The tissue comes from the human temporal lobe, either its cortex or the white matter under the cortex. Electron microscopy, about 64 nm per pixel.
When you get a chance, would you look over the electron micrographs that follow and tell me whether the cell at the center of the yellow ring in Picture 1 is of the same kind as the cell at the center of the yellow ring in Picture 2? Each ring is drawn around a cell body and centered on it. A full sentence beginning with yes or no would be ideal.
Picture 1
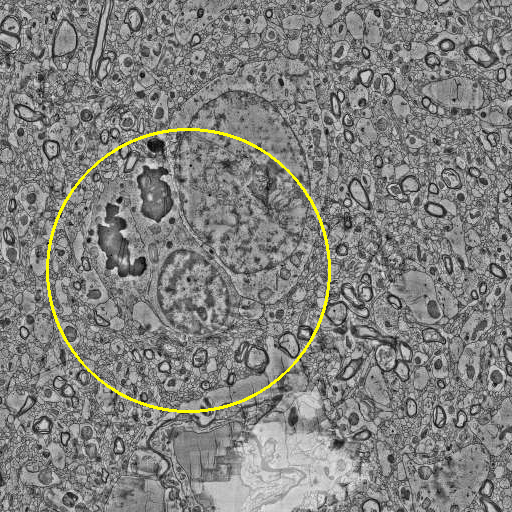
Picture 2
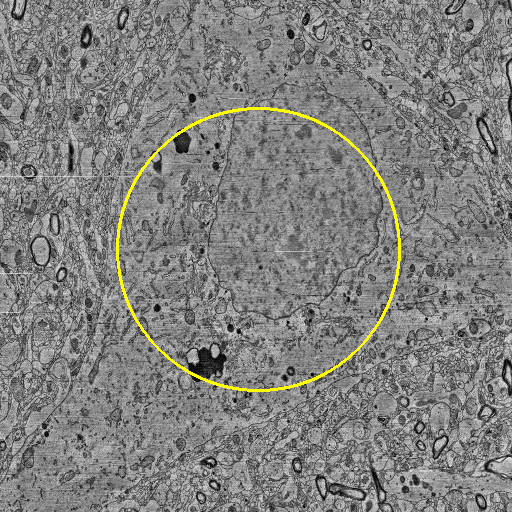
No, they are two kinds of cell.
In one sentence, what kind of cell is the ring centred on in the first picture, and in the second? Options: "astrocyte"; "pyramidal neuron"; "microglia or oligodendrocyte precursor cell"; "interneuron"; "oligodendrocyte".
The cell at the centre of the second ring is a pyramidal neuron; the first ring's cell is an oligodendrocyte.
